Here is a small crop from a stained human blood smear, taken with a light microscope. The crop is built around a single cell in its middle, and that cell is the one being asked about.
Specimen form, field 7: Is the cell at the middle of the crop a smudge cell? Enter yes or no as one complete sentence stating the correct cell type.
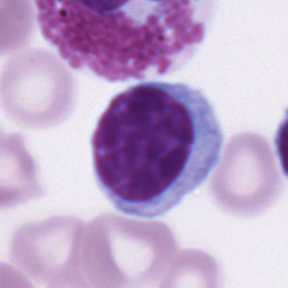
No, the central cell is classed as a typical lymphocyte and not as a smudge cell.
